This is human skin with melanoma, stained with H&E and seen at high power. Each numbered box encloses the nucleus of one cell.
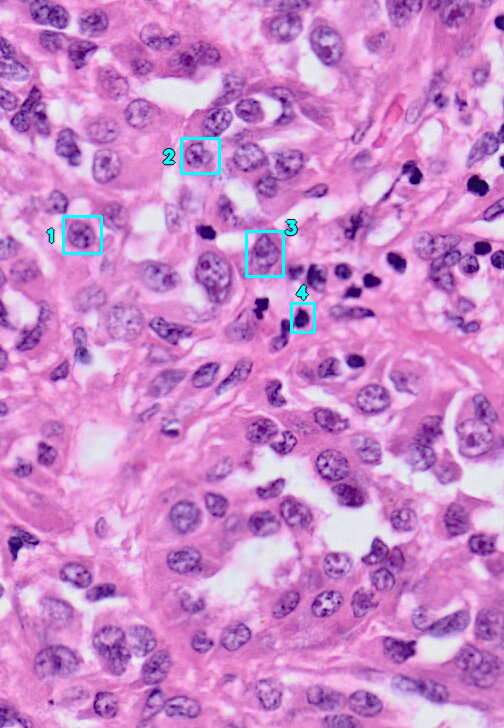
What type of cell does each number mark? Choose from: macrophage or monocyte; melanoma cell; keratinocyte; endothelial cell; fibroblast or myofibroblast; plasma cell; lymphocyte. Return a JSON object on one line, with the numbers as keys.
{"1": "melanoma cell", "2": "melanoma cell", "3": "melanoma cell", "4": "lymphocyte"}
